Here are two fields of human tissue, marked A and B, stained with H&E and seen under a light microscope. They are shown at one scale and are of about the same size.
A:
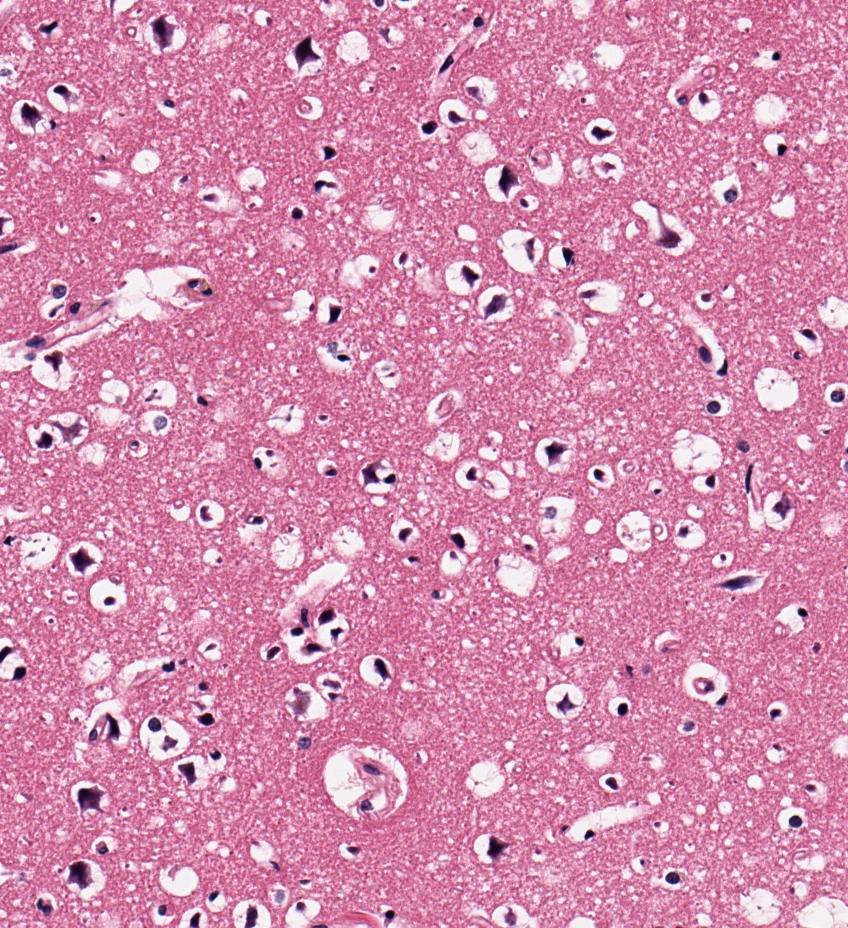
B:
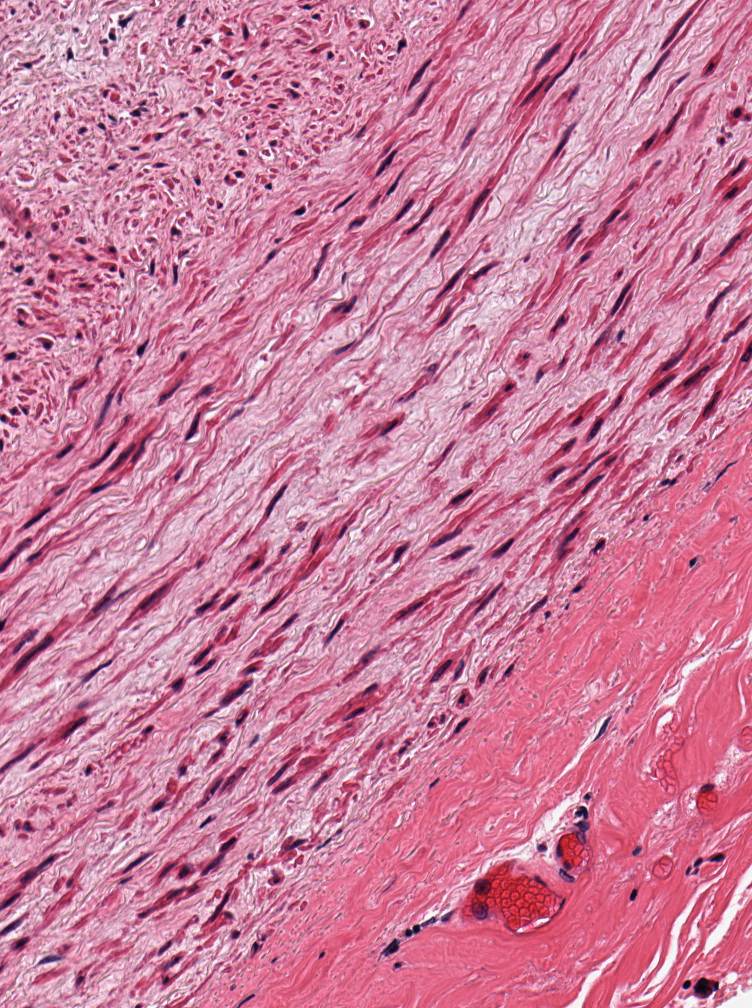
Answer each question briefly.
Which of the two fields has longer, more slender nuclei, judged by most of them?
B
